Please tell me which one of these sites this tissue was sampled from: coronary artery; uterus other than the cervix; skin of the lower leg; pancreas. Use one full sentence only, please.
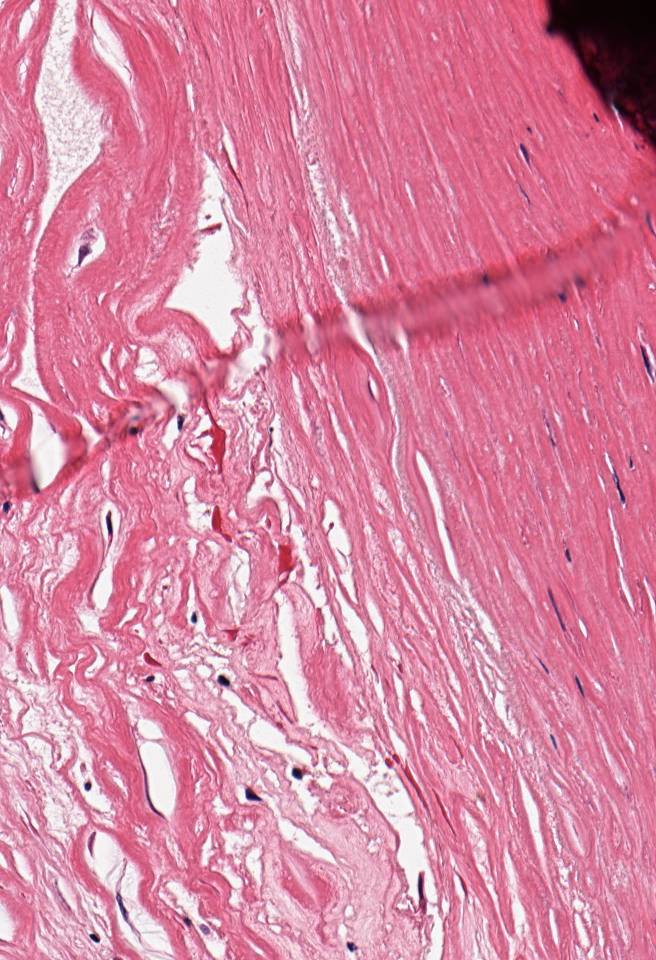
Tissue was sampled from the coronary artery for this slide.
